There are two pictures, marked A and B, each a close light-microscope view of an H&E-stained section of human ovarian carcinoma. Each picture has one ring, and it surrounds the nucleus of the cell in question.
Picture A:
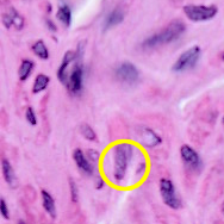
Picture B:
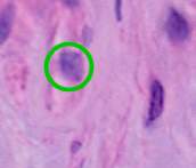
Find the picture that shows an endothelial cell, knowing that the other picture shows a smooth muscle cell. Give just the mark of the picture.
B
